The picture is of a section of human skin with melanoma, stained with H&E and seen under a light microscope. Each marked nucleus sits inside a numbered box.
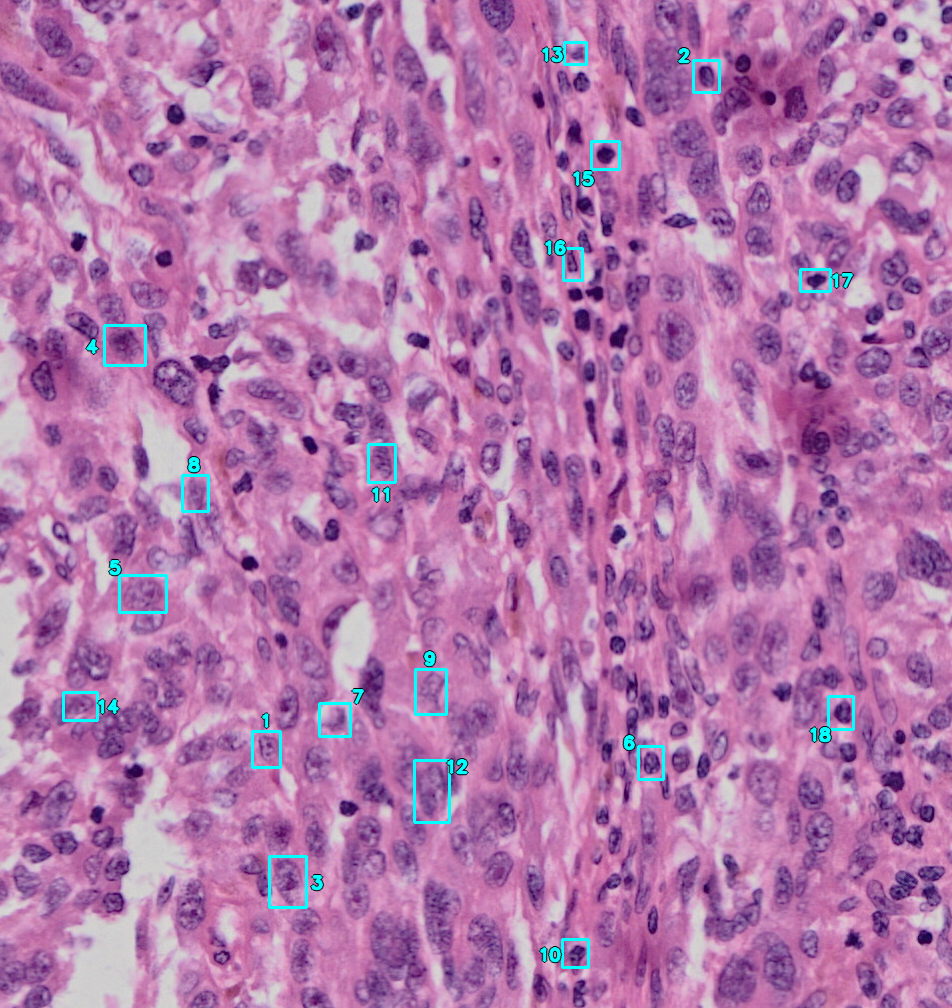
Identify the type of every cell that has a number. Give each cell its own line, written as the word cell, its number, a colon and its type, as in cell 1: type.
cell 1: melanoma cell
cell 2: lymphocyte
cell 3: melanoma cell
cell 4: melanoma cell
cell 5: melanoma cell
cell 6: lymphocyte
cell 7: melanoma cell
cell 8: melanoma cell
cell 9: melanoma cell
cell 10: lymphocyte
cell 11: melanoma cell
cell 12: melanoma cell
cell 13: lymphocyte
cell 14: melanoma cell
cell 15: lymphocyte
cell 16: macrophage or monocyte
cell 17: lymphocyte
cell 18: lymphocyte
